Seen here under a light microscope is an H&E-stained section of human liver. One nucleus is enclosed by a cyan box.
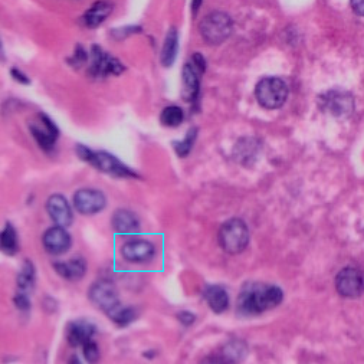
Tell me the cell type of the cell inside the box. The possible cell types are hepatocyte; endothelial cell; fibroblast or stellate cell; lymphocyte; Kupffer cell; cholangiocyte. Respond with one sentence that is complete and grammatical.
Speaking plainly, the cell inside the box is nothing other than a cholangiocyte.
